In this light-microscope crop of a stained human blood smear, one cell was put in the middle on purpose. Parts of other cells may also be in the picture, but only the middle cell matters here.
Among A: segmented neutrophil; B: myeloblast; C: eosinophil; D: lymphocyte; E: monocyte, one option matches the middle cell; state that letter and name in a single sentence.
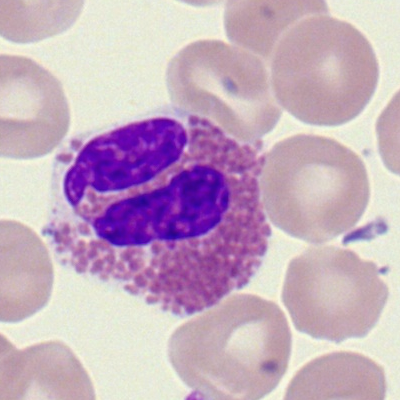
The cell at the centre is an eosinophil, and option C accordingly is correct.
